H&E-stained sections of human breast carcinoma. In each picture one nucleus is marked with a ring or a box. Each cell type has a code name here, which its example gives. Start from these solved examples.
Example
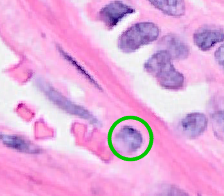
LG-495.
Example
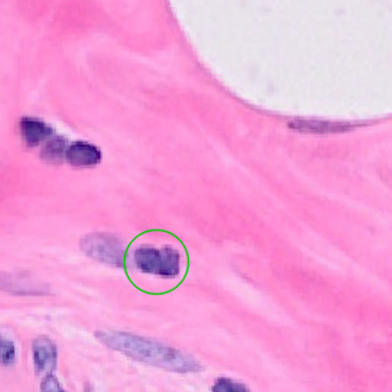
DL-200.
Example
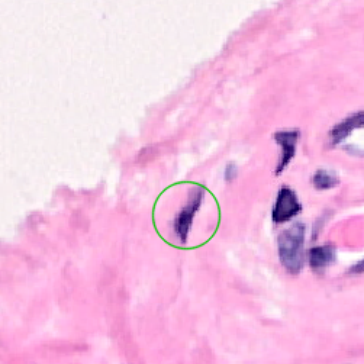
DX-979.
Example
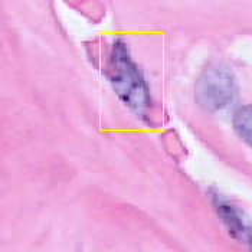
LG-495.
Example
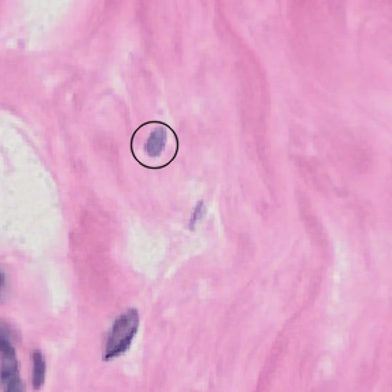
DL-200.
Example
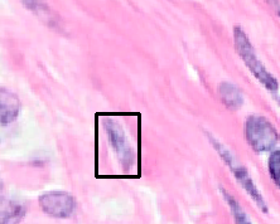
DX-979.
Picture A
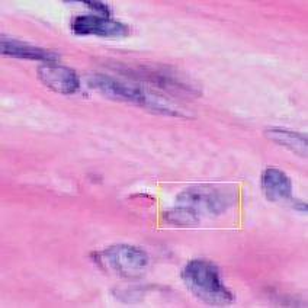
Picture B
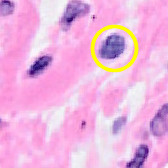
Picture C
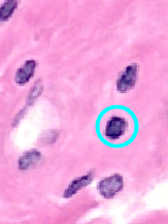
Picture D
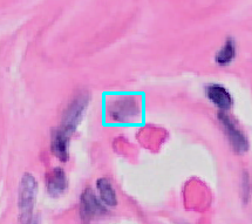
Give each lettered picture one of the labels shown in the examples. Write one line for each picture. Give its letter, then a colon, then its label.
A: LG-495.
B: DL-200.
C: DL-200.
D: LG-495.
